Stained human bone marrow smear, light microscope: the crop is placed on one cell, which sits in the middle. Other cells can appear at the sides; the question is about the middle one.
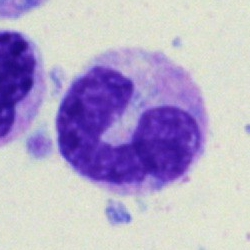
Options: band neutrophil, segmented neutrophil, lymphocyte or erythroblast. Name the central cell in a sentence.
The centrally placed cell is classified as a band neutrophil.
